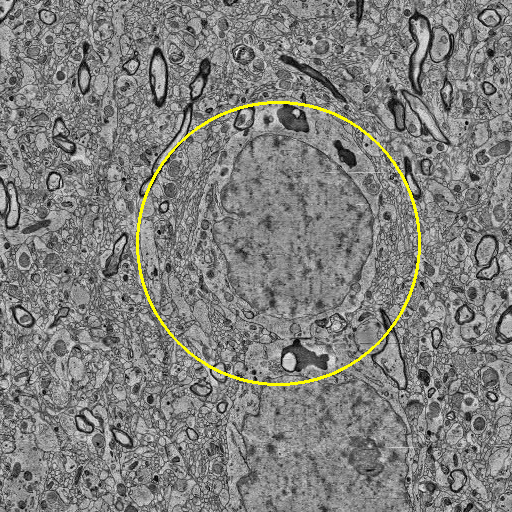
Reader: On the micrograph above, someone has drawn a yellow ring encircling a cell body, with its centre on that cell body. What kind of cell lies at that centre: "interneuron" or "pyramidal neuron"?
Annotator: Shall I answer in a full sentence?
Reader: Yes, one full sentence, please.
Here an interneuron sits at the centre of the yellow ring drawn on the micrograph.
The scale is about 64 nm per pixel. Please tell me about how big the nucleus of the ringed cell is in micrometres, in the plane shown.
About 13 micrometres by about 10 micrometres in this plane.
